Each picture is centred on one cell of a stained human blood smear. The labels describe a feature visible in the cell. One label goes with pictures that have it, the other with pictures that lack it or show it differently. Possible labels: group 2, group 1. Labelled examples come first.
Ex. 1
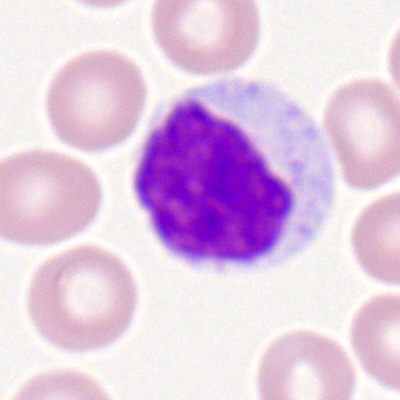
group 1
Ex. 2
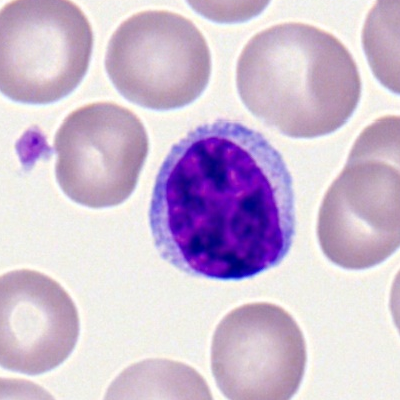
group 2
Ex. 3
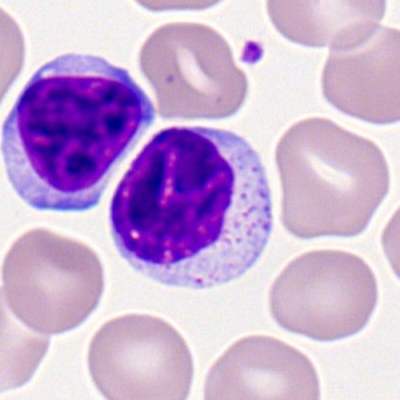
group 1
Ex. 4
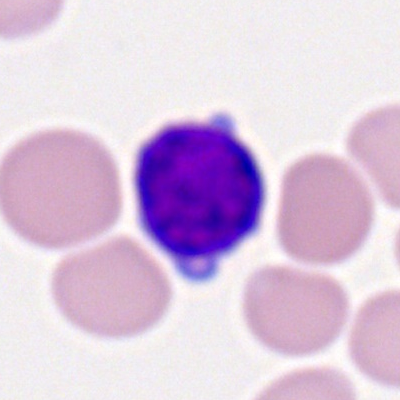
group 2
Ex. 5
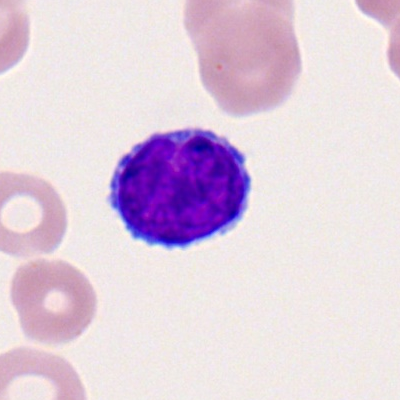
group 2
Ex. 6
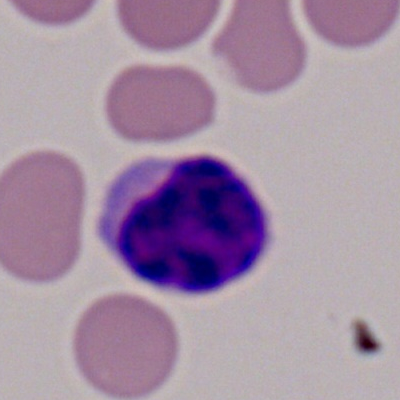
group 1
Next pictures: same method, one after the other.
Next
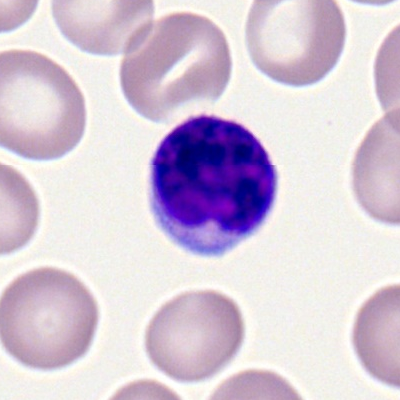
group 1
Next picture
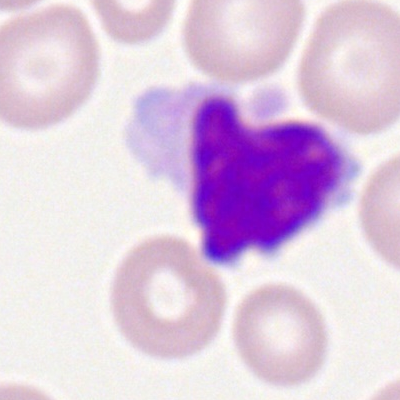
group 2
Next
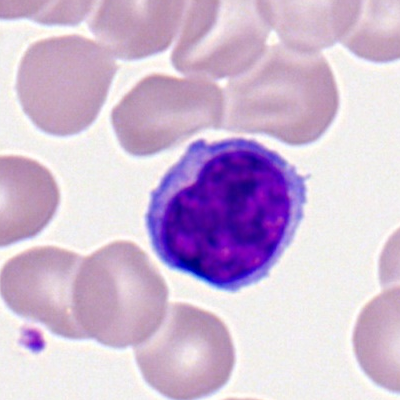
group 2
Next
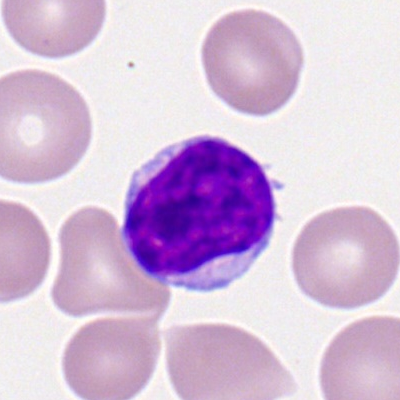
group 2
